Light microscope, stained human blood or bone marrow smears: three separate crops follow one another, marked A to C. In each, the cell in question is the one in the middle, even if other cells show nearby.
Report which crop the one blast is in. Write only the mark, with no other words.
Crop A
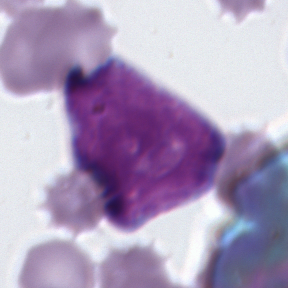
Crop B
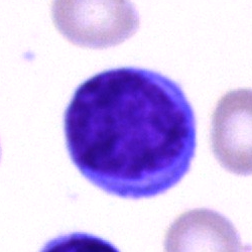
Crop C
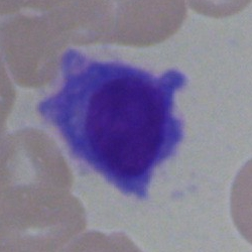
A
